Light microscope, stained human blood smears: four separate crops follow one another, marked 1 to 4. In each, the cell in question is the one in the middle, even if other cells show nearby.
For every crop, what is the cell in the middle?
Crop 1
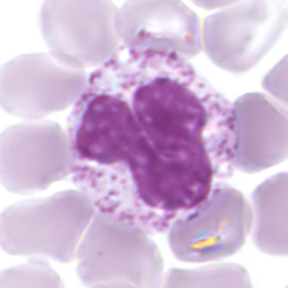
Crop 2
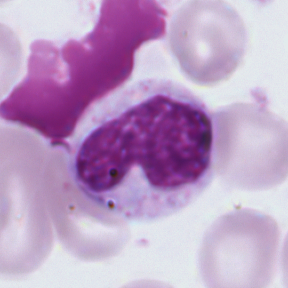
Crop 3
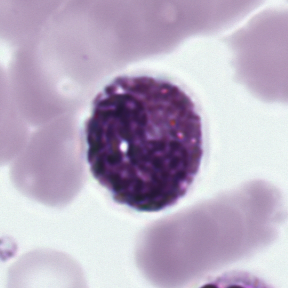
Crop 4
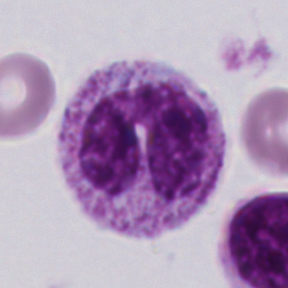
1: band neutrophil
2: band neutrophil
3: eosinophil
4: band neutrophil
